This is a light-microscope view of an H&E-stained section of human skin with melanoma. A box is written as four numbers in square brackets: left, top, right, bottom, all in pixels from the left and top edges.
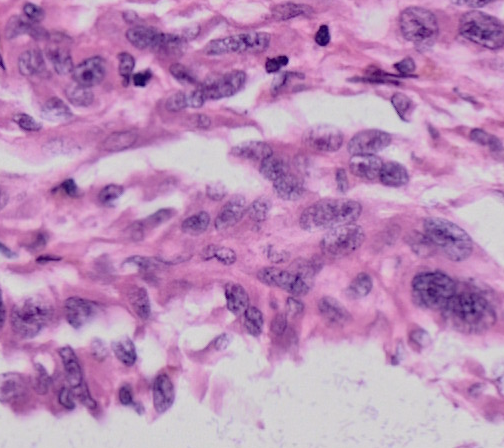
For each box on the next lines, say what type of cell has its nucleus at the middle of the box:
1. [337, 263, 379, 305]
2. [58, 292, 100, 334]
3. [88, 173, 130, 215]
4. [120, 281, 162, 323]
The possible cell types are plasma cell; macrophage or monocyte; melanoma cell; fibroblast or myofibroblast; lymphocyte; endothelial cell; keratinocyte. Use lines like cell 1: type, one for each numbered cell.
cell 1: endothelial cell
cell 2: melanoma cell
cell 3: melanoma cell
cell 4: melanoma cell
